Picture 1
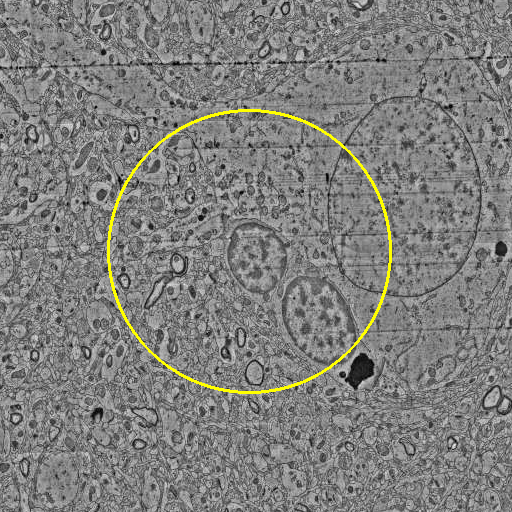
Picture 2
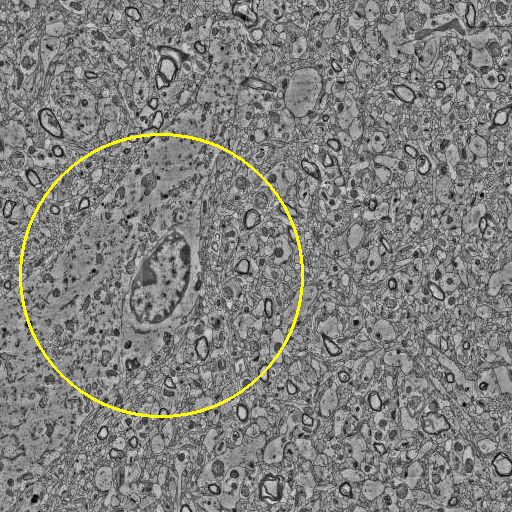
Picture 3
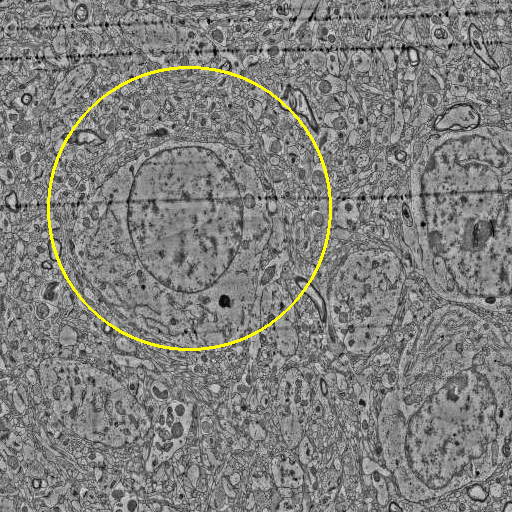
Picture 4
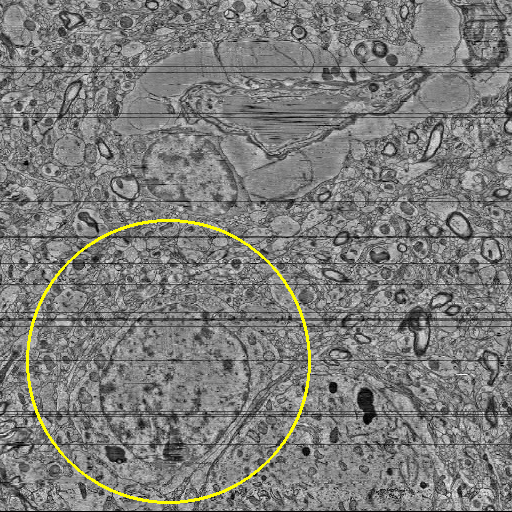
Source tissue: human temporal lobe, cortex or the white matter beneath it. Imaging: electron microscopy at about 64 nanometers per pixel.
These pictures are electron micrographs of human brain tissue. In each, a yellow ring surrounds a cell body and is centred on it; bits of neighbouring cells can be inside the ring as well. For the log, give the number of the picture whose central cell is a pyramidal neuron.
3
